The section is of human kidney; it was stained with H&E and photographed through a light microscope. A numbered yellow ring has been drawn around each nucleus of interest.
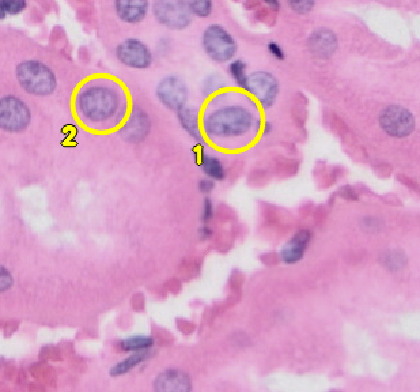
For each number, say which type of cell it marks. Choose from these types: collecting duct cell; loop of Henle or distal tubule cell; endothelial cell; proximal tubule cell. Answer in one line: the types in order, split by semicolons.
collecting duct cell; proximal tubule cell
